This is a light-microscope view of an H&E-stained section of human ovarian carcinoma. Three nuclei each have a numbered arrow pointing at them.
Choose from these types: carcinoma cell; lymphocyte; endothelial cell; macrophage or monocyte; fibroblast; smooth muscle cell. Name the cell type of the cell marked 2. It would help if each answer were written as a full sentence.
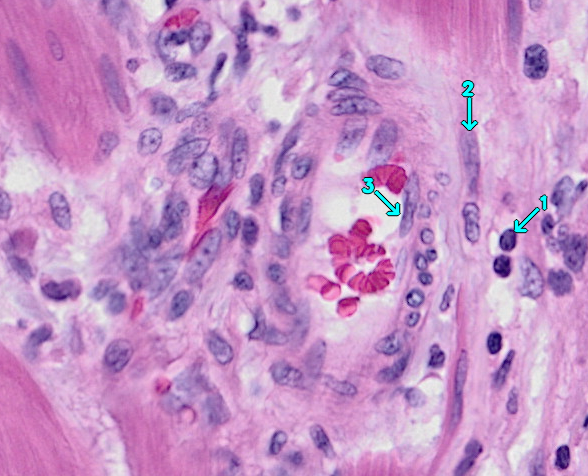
At number 2, the marked cell is a fibroblast.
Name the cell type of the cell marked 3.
The label 3 in this section denotes an endothelial cell.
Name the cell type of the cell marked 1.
Within this field of view, the cell labelled 1 is a lymphocyte.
